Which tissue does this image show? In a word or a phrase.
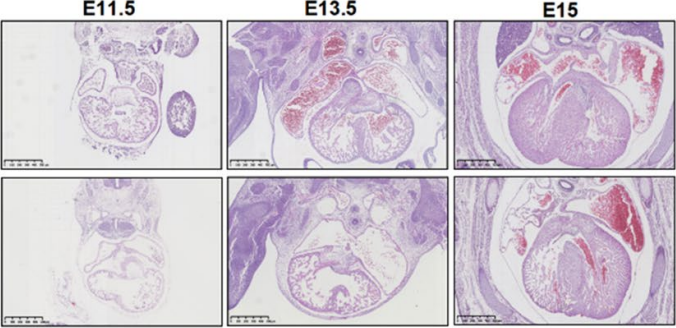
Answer: heart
